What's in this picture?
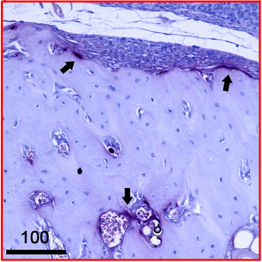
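Bone in section with many small osteocytes sitting in lacunae within the pale purple matrix. Along the upper bone surface lie flattened, dark purple stained cells, and a further dark purple stained cell lines a small cavity within the bone. In the lower part, marrow spaces contain cells and clear rounded fat cells.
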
